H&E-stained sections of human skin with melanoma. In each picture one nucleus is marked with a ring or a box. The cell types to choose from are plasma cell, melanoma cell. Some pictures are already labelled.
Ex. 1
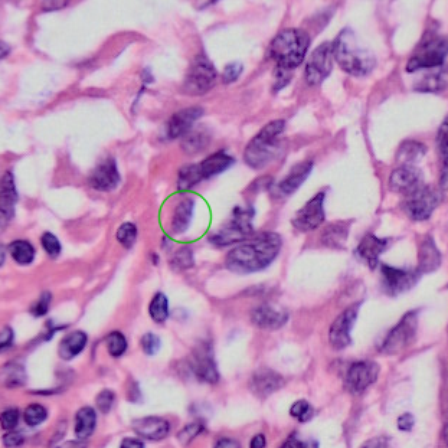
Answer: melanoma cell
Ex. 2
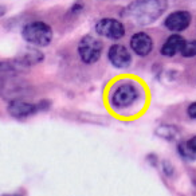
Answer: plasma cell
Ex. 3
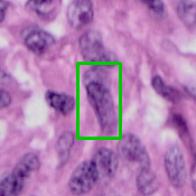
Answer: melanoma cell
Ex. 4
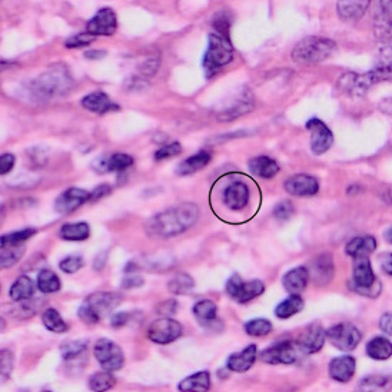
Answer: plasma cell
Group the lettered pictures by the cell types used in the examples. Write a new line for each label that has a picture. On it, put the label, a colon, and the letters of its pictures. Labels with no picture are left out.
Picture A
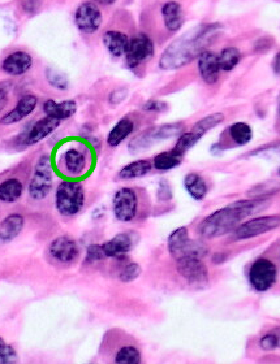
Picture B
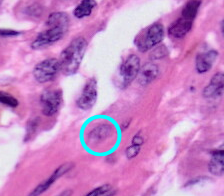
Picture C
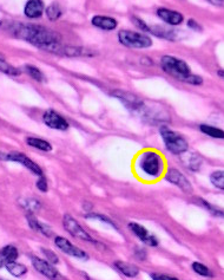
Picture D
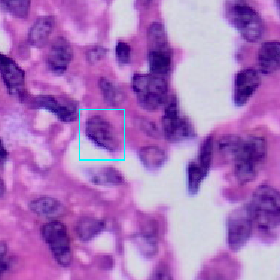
plasma cell: A, C
melanoma cell: B, D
